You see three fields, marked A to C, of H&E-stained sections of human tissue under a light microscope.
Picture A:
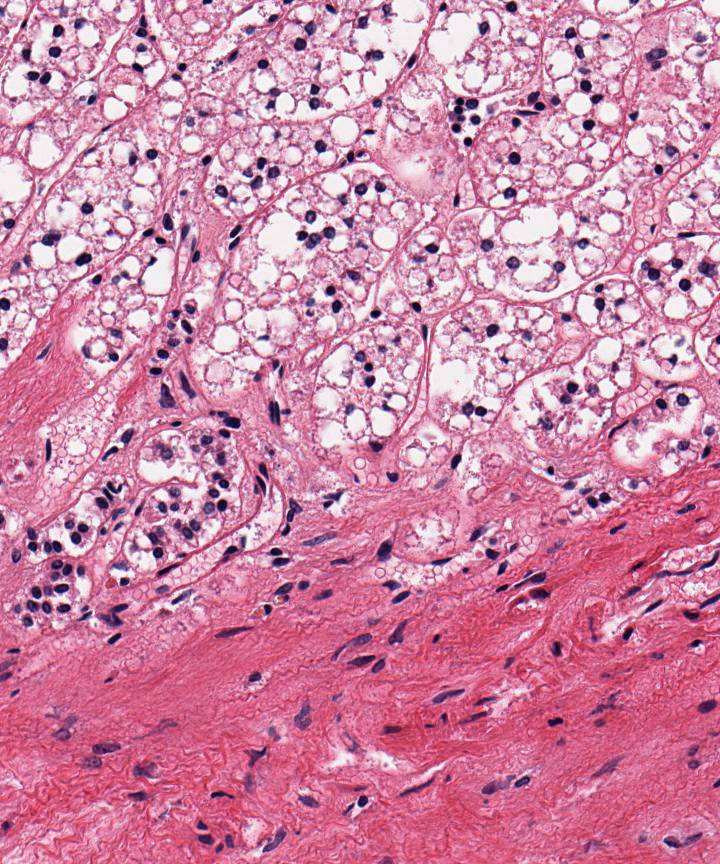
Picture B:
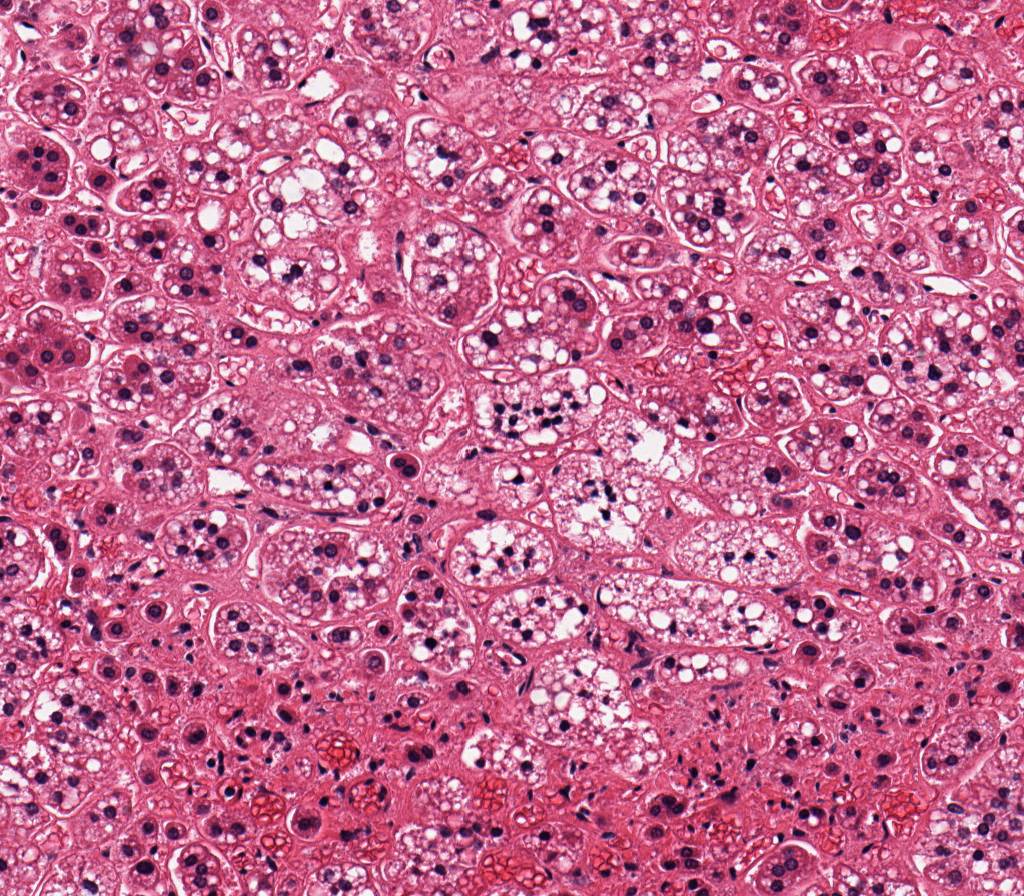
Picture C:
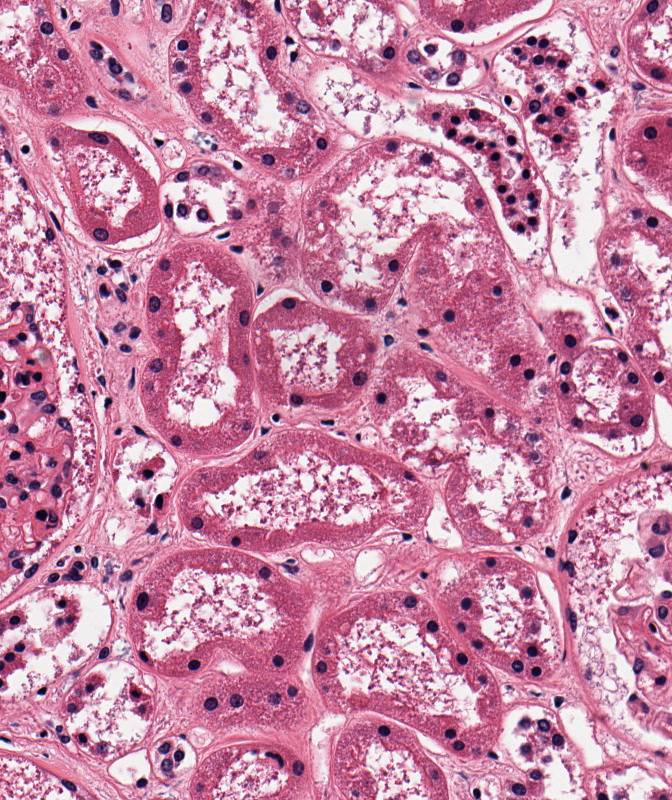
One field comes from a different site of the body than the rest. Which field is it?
C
